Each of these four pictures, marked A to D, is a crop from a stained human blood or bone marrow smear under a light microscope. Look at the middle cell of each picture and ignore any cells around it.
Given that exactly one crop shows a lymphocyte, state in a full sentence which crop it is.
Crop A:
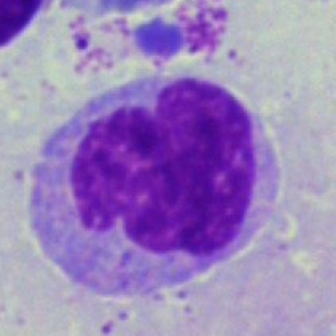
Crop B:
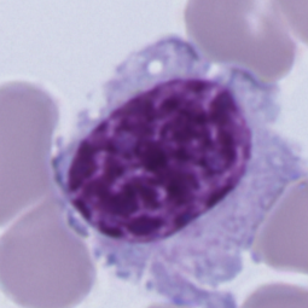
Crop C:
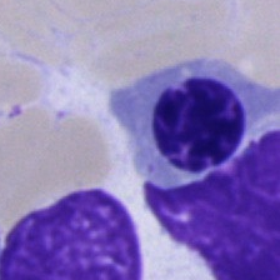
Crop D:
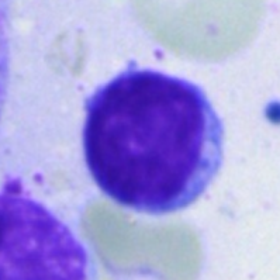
When the crops are compared, crop D is the one showing a lymphocyte.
